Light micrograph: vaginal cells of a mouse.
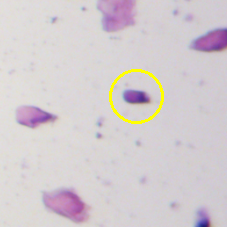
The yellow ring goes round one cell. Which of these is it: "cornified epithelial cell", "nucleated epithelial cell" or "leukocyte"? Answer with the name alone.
nucleated epithelial cell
